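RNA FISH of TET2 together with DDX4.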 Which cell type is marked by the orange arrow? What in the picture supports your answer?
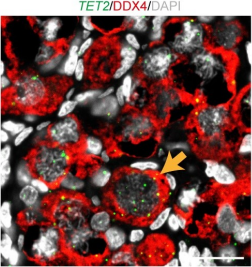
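Dictyate/diplotene oocytes. The arrowed cell is large and round with a large pale round nucleus. Its cytoplasm forms a red ring around the nucleus. Small elongated nuclei lie between the large cells.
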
